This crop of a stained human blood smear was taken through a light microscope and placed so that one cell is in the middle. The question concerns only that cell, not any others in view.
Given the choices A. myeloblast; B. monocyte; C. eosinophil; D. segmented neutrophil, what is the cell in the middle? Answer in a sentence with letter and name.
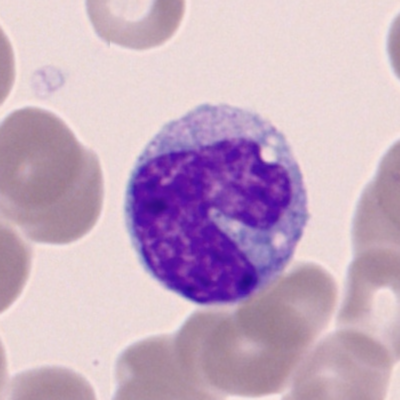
The centrally located cell is a monocyte, making option B the correct choice.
